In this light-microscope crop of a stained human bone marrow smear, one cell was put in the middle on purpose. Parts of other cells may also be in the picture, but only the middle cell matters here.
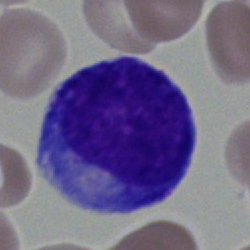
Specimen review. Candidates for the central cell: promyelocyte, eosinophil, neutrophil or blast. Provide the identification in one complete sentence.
The central element of this crop is a cell, namely a promyelocyte.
